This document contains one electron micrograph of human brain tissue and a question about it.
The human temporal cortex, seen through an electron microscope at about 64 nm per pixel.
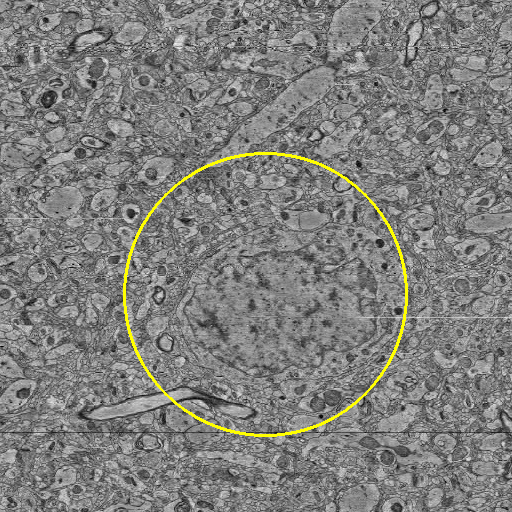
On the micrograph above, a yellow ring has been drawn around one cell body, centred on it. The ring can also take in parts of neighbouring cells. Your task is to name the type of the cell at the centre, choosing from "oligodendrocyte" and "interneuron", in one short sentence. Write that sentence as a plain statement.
Here the ring is centred on an interneuron.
